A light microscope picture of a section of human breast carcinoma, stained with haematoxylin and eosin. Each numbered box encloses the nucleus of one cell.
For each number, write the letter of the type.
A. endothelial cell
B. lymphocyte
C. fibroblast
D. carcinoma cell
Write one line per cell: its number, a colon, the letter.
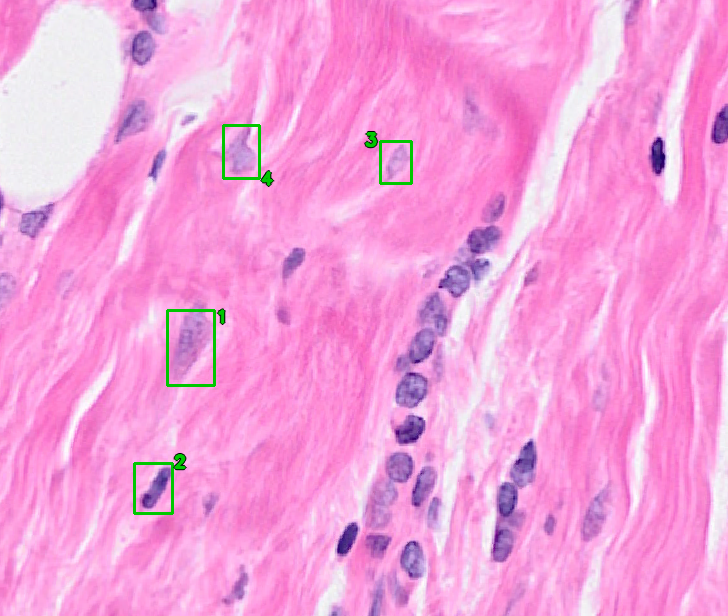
1: C
2: B
3: C
4: C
